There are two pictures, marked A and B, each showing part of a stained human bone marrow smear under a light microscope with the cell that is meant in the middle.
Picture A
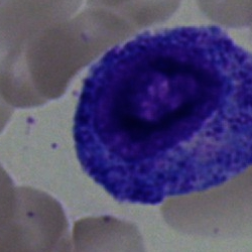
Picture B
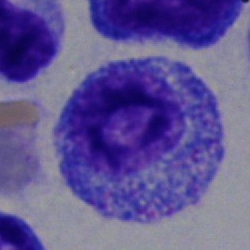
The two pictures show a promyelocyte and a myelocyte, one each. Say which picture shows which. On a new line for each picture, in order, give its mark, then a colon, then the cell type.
A: promyelocyte
B: myelocyte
